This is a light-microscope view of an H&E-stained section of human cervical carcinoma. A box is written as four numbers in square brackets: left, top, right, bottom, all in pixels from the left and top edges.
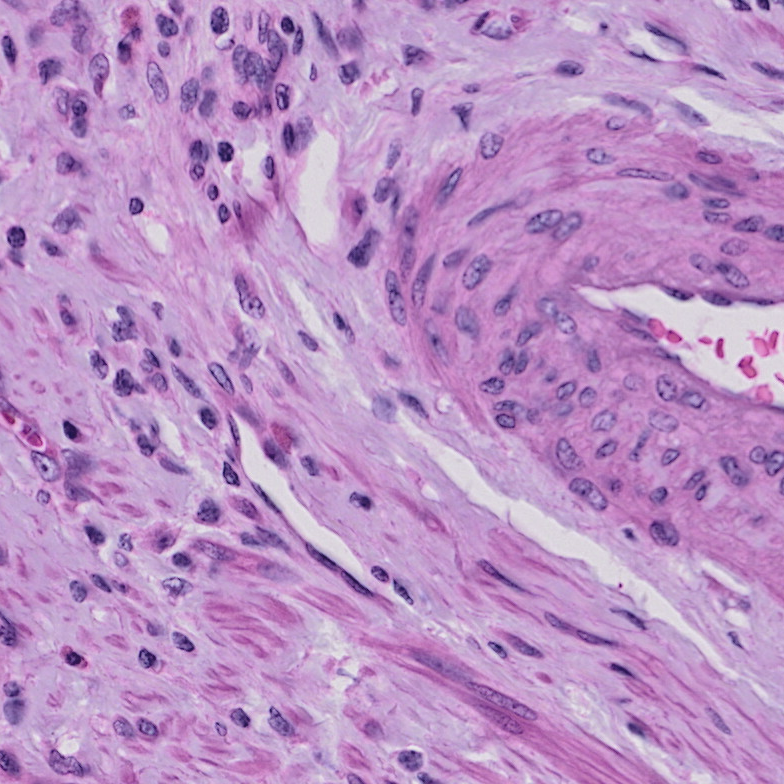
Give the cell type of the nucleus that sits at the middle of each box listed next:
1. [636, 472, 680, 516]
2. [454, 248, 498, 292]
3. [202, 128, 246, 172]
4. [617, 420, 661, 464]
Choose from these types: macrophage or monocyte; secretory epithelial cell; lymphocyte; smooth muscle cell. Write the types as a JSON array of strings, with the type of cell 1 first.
["smooth muscle cell", "smooth muscle cell", "lymphocyte", "smooth muscle cell"]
